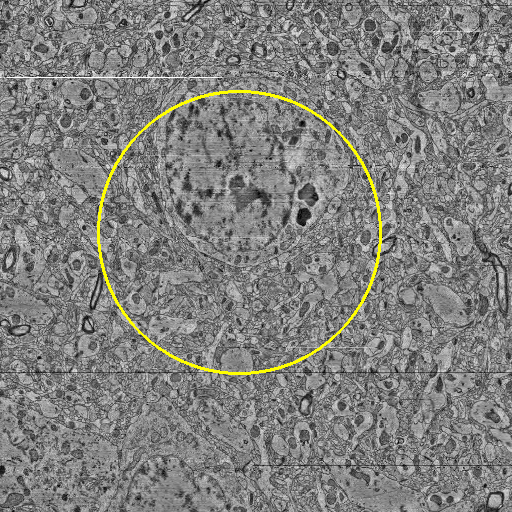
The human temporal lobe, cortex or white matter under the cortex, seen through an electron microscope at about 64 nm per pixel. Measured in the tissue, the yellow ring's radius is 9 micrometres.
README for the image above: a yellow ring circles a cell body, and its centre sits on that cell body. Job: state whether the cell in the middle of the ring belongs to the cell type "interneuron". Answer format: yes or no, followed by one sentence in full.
Yes, the cell sitting in the middle of the ring in the image belongs to that type.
